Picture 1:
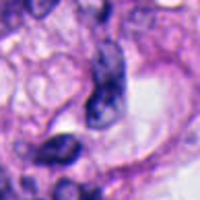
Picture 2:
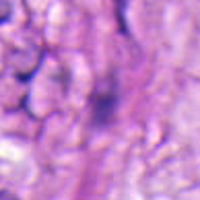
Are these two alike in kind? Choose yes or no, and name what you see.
Yes. Vascular myocytes.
